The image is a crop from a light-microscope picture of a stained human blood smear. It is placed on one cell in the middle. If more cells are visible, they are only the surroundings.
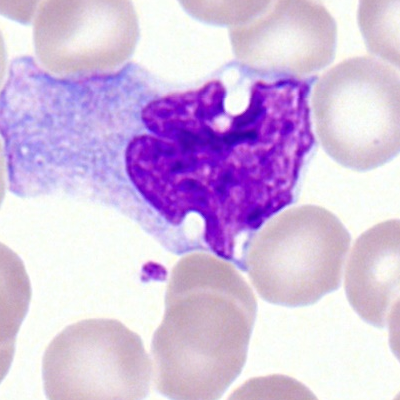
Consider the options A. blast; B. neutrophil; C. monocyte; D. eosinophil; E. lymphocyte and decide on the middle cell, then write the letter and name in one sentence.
The cell in the center of this crop is a monocyte, so option C is the one to pick.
